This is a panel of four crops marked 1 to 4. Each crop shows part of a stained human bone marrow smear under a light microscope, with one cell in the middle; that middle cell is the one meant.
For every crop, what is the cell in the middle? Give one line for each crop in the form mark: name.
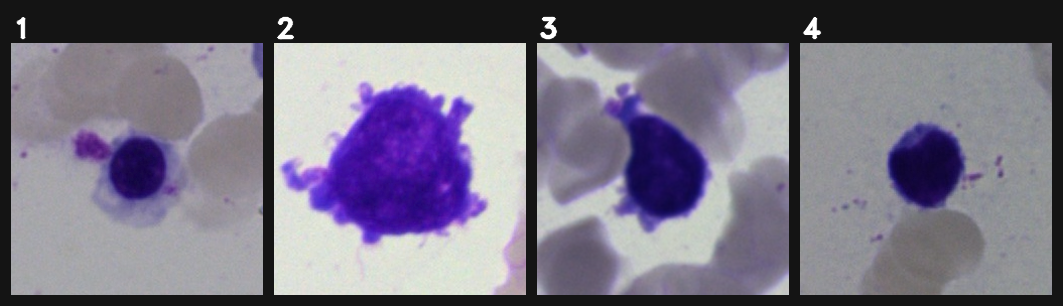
1: erythroblast
2: blast
3: lymphocyte
4: lymphocyte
